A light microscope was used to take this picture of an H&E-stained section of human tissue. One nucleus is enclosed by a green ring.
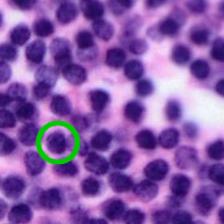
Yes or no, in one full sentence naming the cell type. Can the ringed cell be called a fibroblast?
No, kindly revise that, as the ringed cell is a small lymphocyte rather than a fibroblast.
